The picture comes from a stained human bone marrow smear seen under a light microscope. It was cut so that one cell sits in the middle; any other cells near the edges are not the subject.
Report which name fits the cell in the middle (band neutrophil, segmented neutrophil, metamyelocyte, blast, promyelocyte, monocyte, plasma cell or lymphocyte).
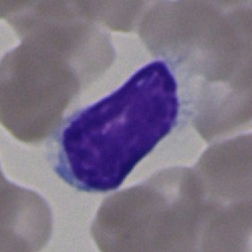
lymphocyte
